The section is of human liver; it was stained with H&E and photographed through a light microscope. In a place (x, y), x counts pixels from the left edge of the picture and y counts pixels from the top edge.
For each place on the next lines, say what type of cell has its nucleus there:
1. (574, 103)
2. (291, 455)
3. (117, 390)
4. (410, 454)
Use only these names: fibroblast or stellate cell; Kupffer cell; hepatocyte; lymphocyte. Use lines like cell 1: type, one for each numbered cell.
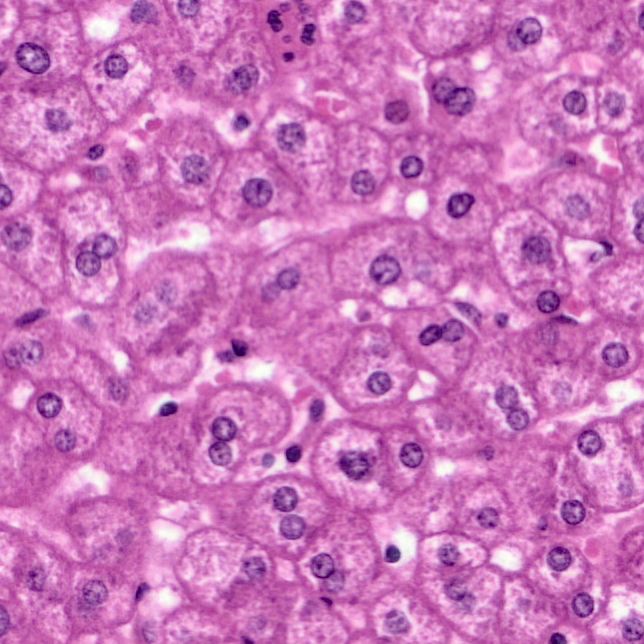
cell 1: hepatocyte
cell 2: lymphocyte
cell 3: hepatocyte
cell 4: hepatocyte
